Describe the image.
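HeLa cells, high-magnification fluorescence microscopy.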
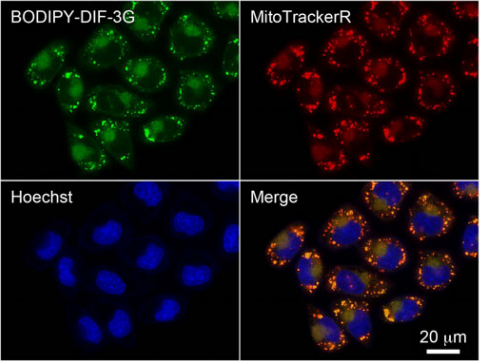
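The green and red puncta sit at the same places and appear orange-yellow in the merge. Cells lie singly or touching, with rounded to polygonal outlines.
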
